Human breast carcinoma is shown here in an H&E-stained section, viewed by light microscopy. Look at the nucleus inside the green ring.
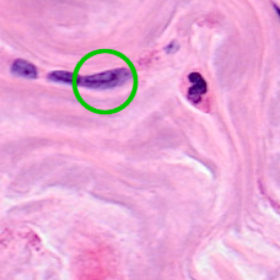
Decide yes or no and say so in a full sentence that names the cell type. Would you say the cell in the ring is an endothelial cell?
No, not quite: the cell in the ring is a fibroblast rather than an endothelial cell.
